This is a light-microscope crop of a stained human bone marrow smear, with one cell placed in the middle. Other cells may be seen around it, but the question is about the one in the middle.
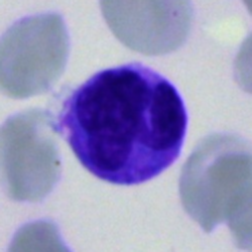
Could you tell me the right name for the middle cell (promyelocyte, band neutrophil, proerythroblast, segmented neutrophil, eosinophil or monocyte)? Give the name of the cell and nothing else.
monocyte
